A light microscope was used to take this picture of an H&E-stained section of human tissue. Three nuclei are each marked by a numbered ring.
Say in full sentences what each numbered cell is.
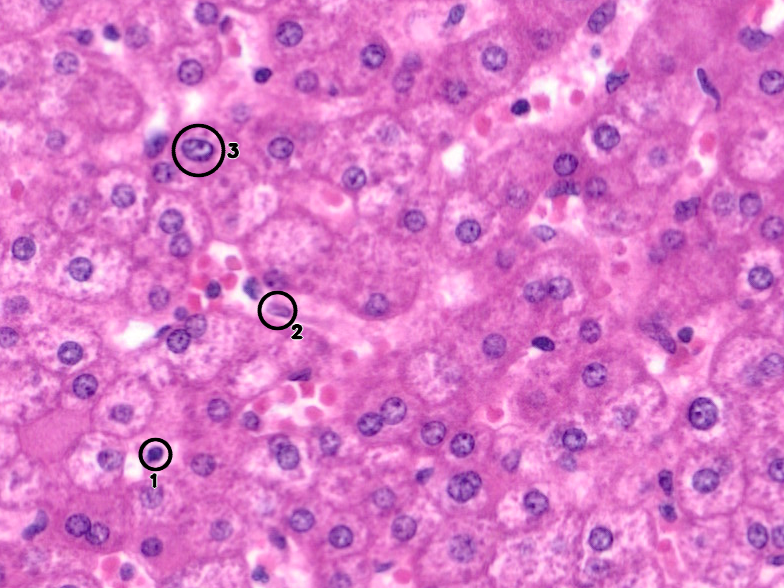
Cell 1 is a lymphocyte, cell 2 is a Kupffer cell and cell 3 is a hepatocyte.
